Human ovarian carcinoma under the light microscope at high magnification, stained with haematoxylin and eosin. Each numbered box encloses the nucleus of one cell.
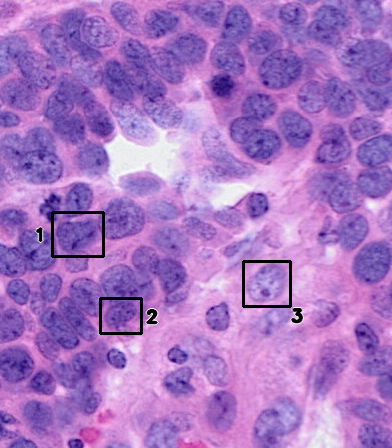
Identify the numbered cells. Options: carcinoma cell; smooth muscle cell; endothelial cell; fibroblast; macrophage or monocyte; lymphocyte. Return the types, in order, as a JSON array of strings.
["carcinoma cell", "carcinoma cell", "fibroblast"]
